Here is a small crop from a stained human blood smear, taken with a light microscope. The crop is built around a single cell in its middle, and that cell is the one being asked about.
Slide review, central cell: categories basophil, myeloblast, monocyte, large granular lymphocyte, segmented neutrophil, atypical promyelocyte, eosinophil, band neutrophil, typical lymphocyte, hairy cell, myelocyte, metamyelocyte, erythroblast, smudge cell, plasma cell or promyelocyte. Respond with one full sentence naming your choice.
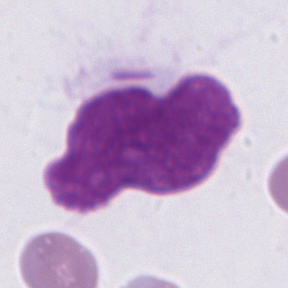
The cell in the exact centre of the crop is a smudge cell.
